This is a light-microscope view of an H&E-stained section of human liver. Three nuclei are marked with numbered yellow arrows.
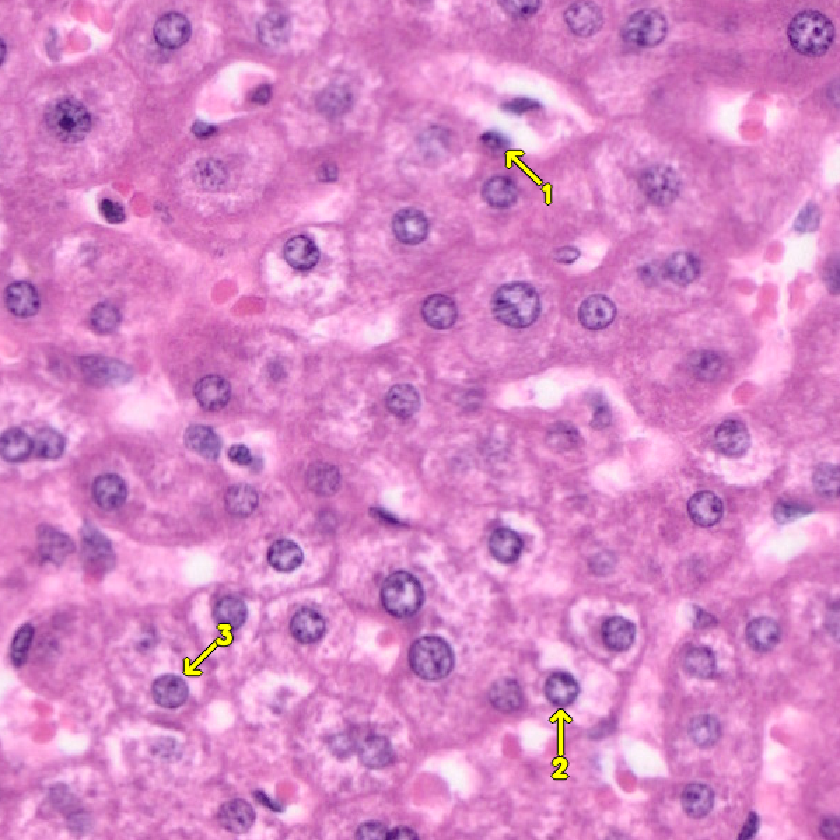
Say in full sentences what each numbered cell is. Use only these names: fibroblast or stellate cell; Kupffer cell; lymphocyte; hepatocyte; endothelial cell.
Cell 1 is an endothelial cell, cell 2 is a hepatocyte and cell 3 is a hepatocyte.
